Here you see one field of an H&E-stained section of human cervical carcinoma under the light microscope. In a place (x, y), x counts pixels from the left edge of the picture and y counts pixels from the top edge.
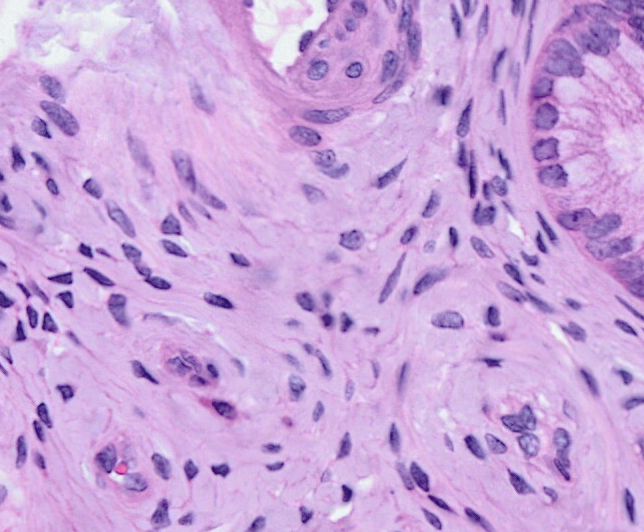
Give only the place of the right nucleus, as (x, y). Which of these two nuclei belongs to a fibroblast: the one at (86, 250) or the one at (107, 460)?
(86, 250)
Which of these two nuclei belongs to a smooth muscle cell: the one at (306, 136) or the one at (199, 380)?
(306, 136)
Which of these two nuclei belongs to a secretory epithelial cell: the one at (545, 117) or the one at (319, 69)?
(545, 117)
